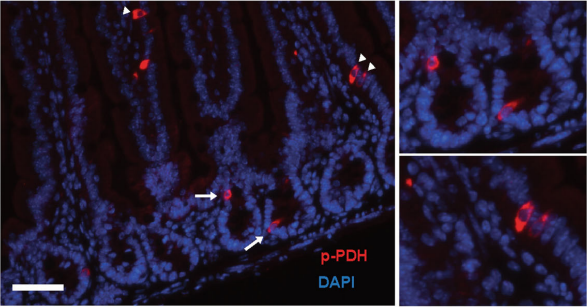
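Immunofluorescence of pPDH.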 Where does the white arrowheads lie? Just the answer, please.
villi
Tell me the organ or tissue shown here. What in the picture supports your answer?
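Tall finger-like villi rise from a layer of crypts. The villi are lined by a single layer of columnar cells with palisaded nuclei. On this evidence: small intestinal.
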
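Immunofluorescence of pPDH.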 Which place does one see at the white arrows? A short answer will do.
crypts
